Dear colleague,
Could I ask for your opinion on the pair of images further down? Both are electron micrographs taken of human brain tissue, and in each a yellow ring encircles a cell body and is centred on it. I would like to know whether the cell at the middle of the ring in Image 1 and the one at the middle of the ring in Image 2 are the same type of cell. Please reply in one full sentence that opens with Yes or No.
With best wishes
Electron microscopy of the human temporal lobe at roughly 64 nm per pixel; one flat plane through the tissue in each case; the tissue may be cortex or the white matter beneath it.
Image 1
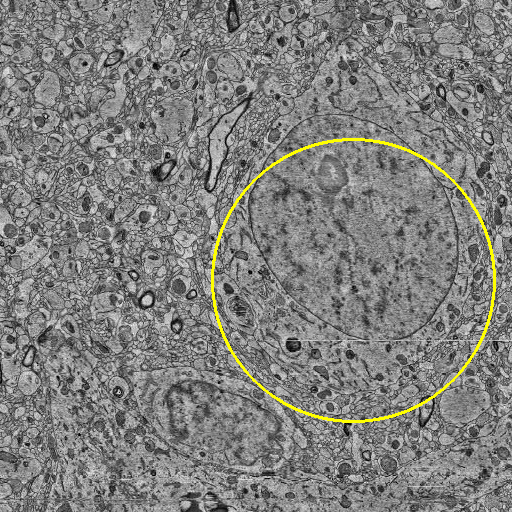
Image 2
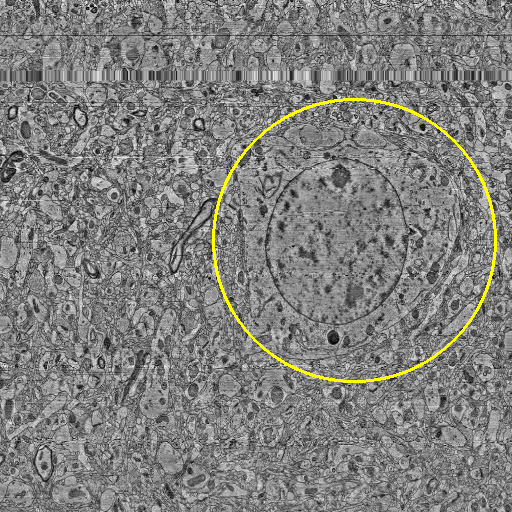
Yes, the cells at the ring centres in Image 1 and Image 2 are of one type.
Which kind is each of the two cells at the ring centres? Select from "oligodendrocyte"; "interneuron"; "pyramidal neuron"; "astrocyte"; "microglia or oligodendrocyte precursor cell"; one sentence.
Each of the two cells is a pyramidal neuron.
